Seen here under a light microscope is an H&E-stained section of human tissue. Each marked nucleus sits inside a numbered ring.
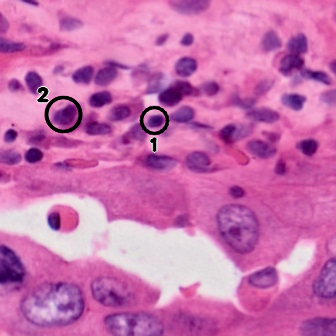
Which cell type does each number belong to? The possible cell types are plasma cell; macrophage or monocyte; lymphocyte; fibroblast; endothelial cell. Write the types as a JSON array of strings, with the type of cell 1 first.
["lymphocyte", "plasma cell"]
